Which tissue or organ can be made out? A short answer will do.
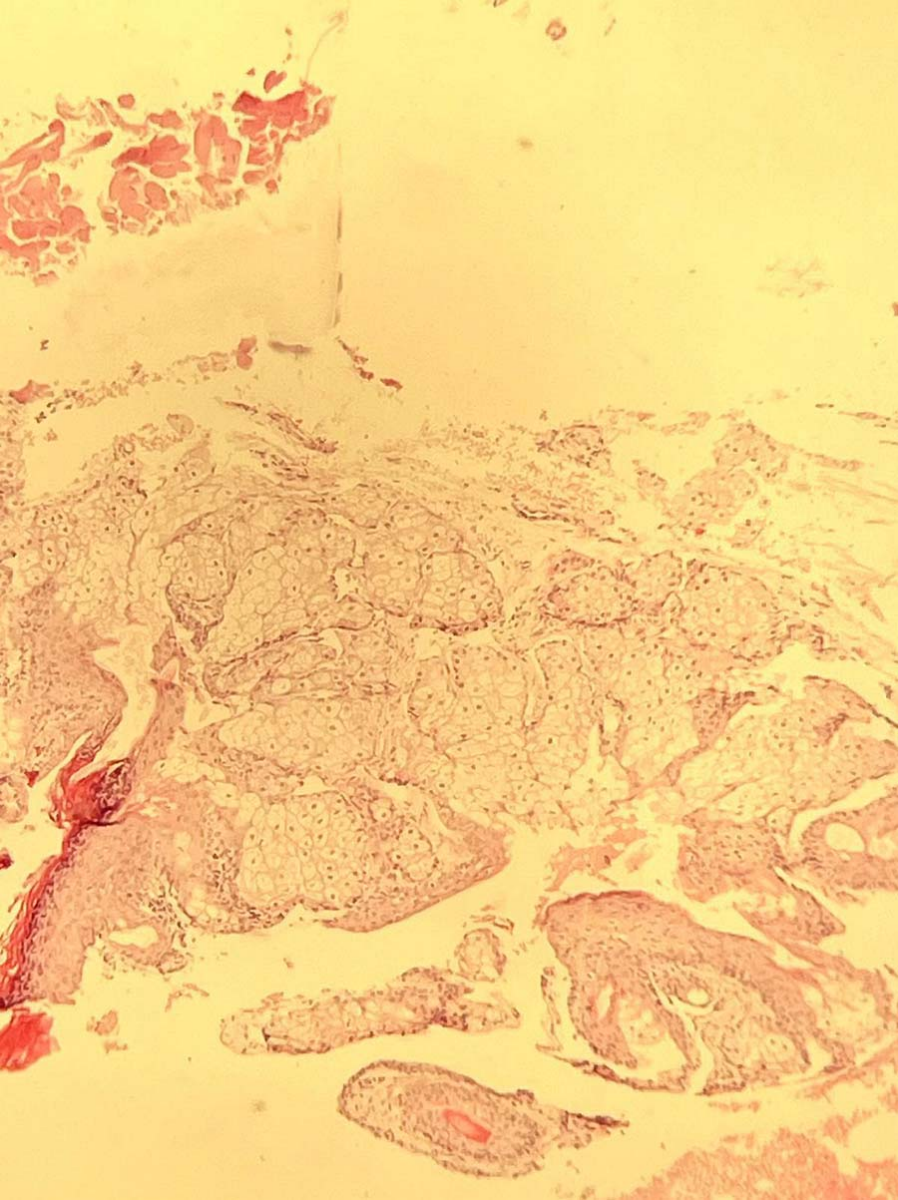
Epidermis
